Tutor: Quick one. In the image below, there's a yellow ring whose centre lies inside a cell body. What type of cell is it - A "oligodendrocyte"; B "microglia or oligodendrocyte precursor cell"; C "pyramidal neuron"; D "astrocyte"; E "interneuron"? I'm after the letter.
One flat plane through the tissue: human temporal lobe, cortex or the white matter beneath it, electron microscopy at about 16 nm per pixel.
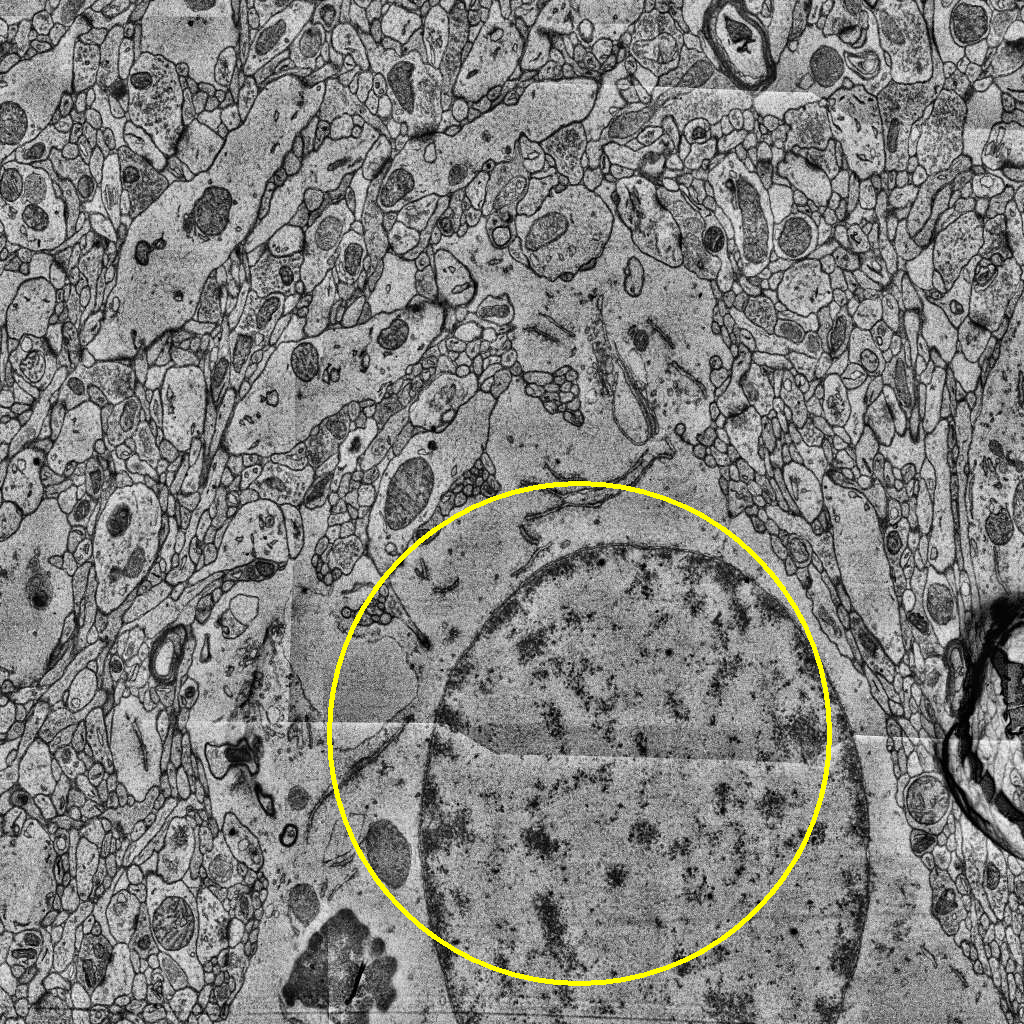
D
